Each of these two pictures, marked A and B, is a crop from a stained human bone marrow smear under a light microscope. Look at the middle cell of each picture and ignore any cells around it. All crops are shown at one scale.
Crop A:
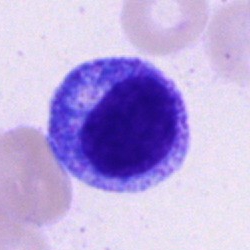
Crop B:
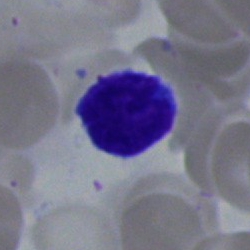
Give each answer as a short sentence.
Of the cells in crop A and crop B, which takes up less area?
The cell in crop B is smaller; the one in crop A has about 2 times its area.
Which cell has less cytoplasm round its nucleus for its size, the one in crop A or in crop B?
Of the two, the nucleus in crop B makes up the greater part of its cell.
